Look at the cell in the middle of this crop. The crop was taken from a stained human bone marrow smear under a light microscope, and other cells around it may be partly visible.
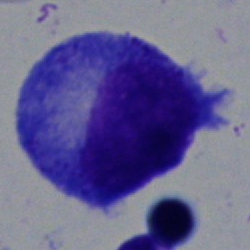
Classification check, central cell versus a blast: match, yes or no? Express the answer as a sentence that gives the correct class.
No, the central cell is not a blast, being instead a promyelocyte.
